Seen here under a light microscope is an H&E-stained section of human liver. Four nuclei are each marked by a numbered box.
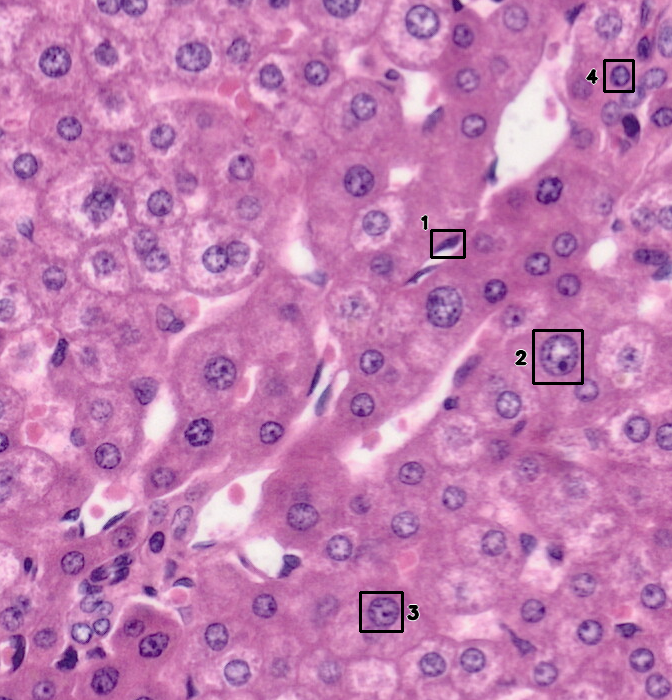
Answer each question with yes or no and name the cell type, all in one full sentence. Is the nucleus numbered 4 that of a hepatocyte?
No, the marked cell 4 is not a hepatocyte, being instead a cholangiocyte.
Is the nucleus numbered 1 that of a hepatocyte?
No, the cell given the number 1 is a fibroblast or stellate cell, so not a hepatocyte.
